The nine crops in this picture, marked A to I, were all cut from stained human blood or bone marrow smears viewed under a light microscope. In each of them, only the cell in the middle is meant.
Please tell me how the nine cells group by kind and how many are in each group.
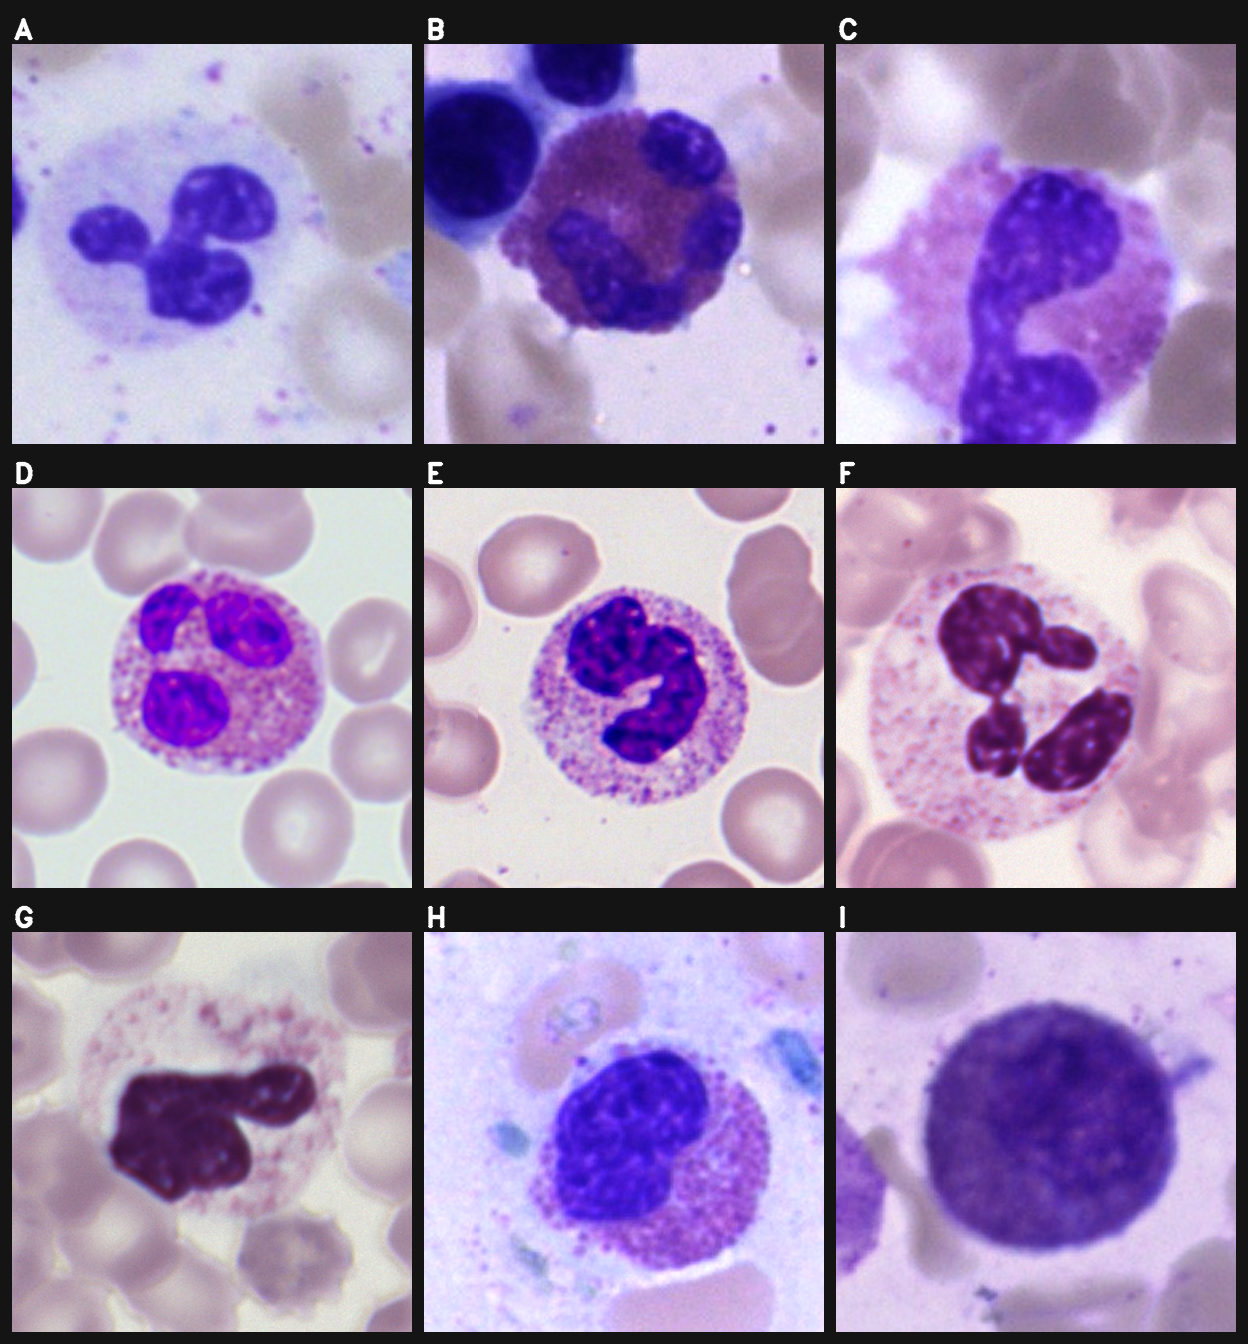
eosinophil: 5
neutrophil: 4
